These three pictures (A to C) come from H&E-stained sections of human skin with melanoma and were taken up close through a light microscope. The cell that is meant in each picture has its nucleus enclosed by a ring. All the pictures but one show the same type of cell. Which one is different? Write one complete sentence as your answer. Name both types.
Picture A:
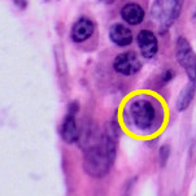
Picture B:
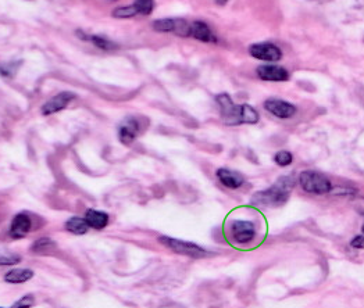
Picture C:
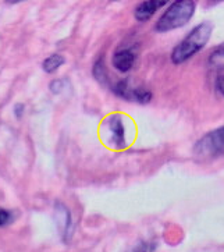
The different one is picture C; it shows a “fibroblast or myofibroblast”, whereas all the others show plasma cells.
